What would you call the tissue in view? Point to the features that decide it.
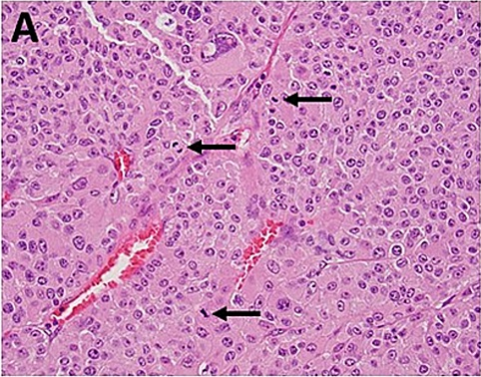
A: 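Sheets of densely packed polygonal cells with little stroma. Thin-walled vessels run between the cell sheets.
Cellular neoplasm.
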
